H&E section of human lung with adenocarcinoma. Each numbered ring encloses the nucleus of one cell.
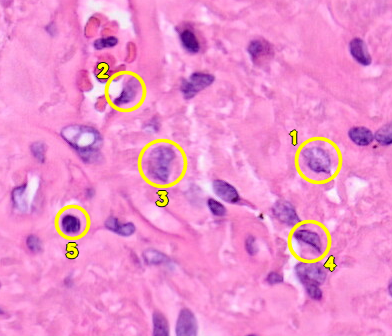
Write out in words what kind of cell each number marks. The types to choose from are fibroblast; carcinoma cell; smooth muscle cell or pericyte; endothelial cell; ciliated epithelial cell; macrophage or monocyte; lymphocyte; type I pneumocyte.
Cells 1, 3 and 4 are fibroblasts. Cell 2 is an endothelial cell. Cell 5 is a lymphocyte.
